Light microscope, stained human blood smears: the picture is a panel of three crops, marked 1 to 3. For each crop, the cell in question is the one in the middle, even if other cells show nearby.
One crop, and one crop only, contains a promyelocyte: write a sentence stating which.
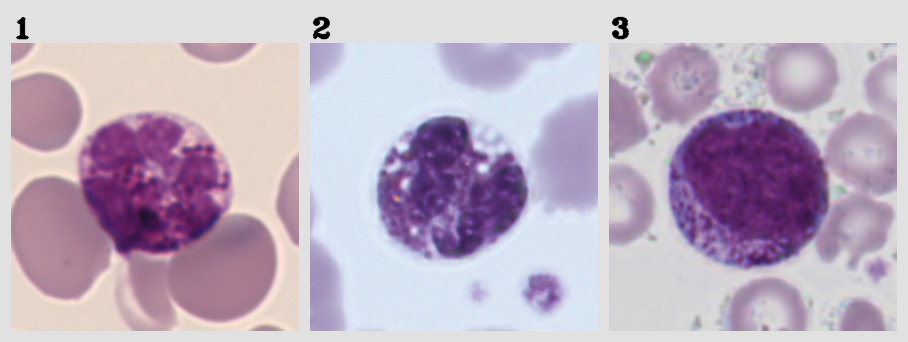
The cell at the center of crop 3 is the one that is a promyelocyte.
